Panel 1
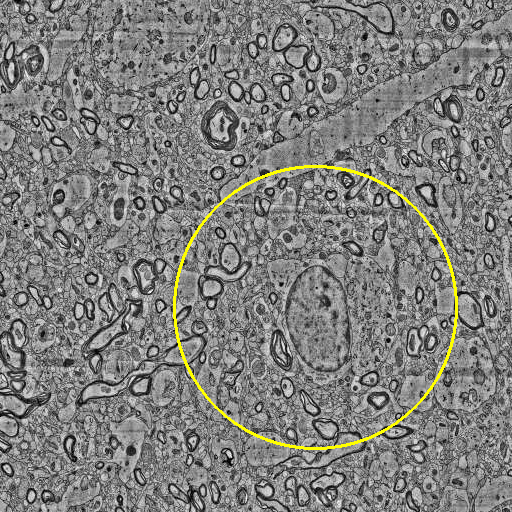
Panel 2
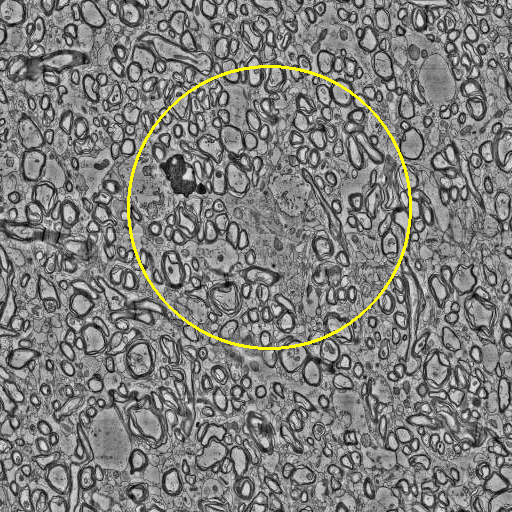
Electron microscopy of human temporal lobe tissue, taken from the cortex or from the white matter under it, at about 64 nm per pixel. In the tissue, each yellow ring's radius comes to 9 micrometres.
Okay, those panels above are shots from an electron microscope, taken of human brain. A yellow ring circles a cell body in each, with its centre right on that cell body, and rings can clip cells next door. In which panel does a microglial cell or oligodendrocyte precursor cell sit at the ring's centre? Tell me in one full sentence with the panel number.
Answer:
The cell you asked for sits at the ring's centre in panel 1.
